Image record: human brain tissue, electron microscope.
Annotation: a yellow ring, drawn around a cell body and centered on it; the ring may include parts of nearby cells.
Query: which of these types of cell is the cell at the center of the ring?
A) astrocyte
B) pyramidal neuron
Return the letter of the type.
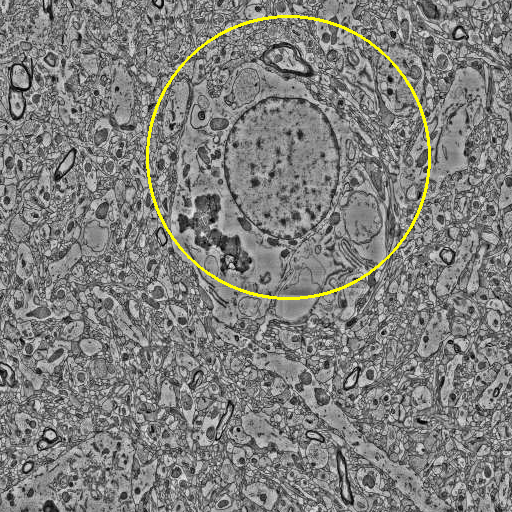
A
